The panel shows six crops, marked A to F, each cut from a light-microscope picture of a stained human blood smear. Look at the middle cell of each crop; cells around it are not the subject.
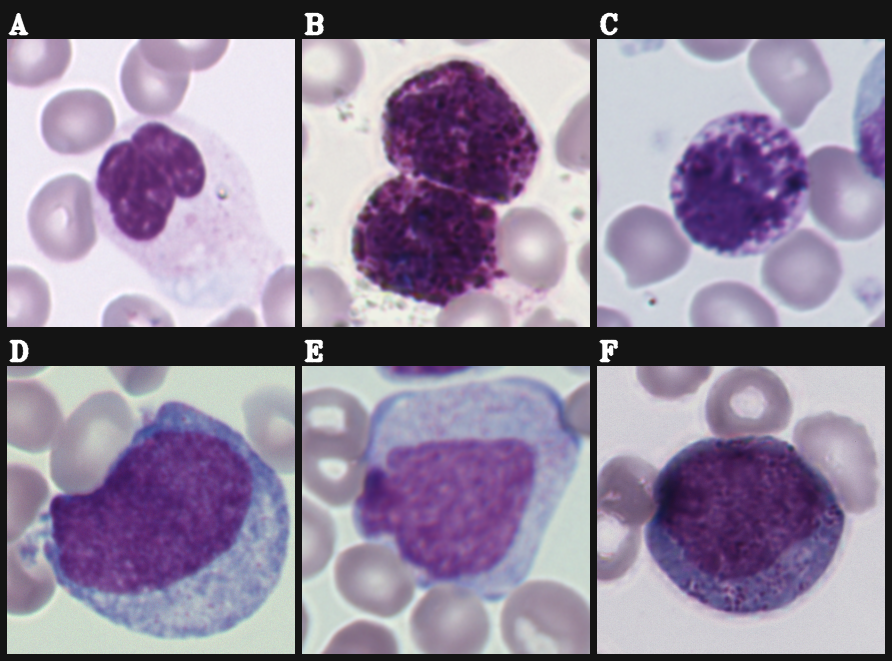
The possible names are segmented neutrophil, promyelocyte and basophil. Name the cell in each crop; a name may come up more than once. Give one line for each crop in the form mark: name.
A: segmented neutrophil
B: basophil
C: basophil
D: promyelocyte
E: promyelocyte
F: promyelocyte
